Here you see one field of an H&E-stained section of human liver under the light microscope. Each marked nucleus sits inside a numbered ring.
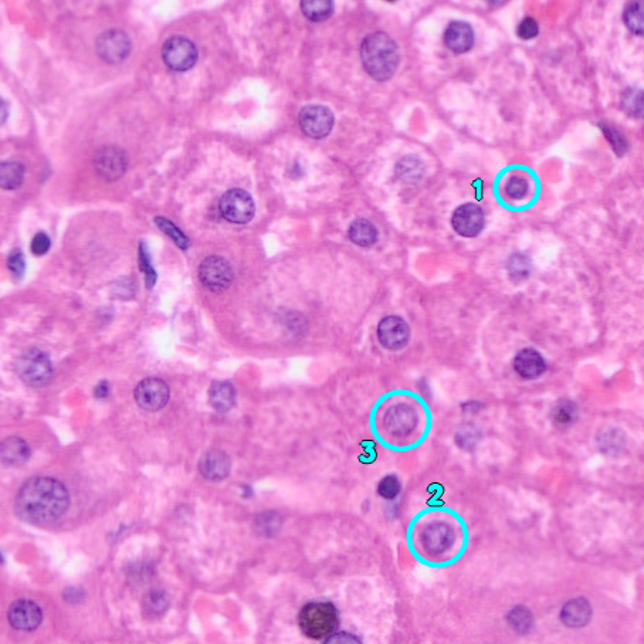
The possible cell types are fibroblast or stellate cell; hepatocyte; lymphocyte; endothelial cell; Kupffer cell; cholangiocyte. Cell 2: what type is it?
hepatocyte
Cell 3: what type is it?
hepatocyte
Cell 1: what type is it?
lymphocyte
